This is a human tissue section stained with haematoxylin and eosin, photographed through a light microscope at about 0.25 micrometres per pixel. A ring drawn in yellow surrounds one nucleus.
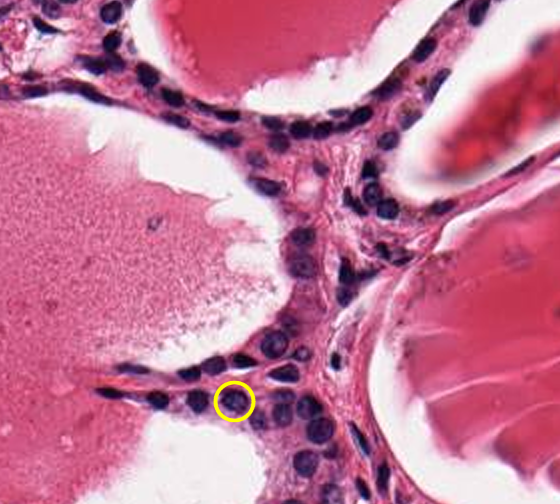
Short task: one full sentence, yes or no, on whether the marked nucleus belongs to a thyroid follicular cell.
Yes, the cell to which the marked nucleus belongs is a thyroid follicular cell.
